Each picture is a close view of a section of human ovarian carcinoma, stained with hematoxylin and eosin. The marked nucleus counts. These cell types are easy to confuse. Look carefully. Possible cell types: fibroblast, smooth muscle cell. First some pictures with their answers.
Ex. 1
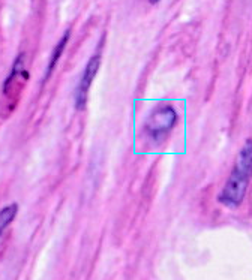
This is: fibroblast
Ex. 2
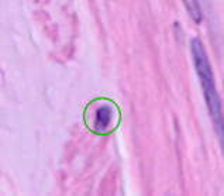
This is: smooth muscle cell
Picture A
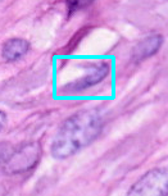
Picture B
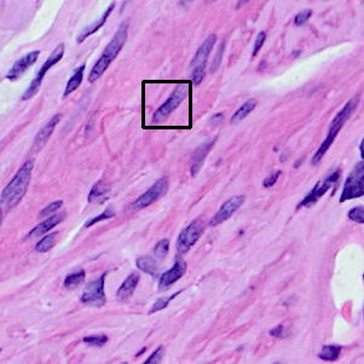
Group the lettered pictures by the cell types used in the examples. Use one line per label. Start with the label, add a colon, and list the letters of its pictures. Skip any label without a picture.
fibroblast: A
smooth muscle cell: B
